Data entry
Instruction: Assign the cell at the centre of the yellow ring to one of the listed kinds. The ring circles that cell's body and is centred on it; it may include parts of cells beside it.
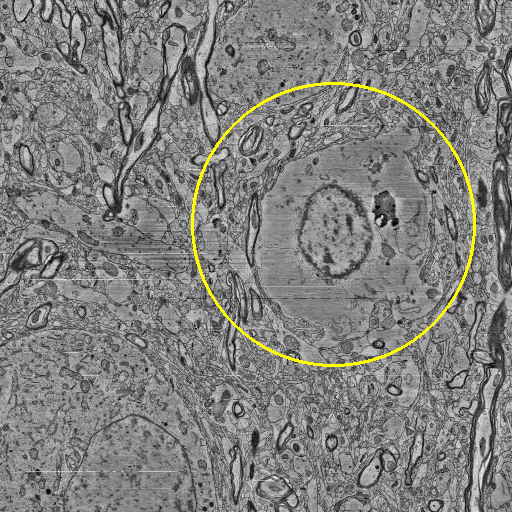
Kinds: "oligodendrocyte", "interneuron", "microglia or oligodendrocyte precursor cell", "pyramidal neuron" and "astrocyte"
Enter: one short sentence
The centre of the ring falls on an astrocyte.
